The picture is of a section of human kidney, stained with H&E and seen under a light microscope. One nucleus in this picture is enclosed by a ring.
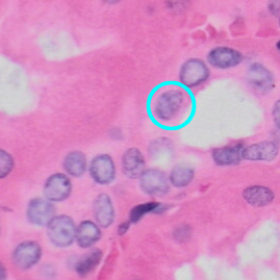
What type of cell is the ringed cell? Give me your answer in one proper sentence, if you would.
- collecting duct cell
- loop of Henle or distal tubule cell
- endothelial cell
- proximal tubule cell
In this tissue sample, the ringed cell is a collecting duct cell.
